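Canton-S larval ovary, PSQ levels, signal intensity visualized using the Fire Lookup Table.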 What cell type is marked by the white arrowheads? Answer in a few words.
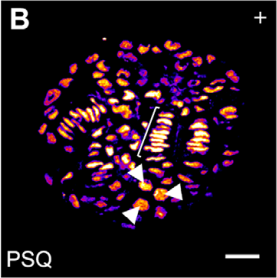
germ cells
